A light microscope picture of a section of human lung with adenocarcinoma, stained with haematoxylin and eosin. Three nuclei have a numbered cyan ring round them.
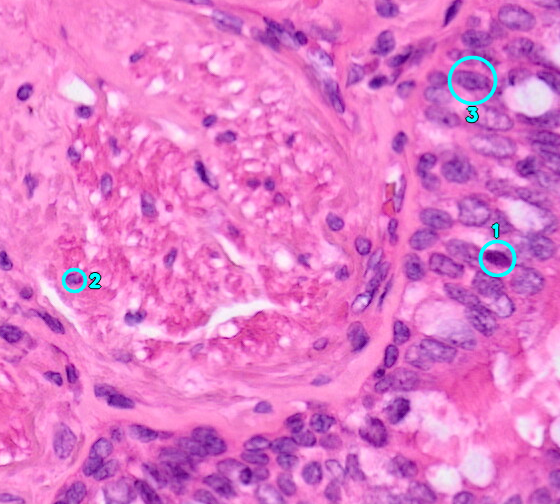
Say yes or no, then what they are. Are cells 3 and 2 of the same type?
No, cell 3 here is a ciliated epithelial cell and cell 2 here is a smooth muscle cell or pericyte.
